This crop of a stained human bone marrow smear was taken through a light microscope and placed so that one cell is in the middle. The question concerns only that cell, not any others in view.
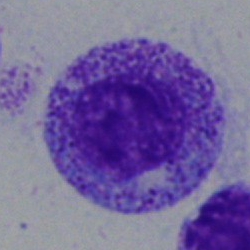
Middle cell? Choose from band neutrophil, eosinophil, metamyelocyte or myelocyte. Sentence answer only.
Looking at the middle of the crop, the cell there is a myelocyte.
